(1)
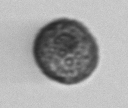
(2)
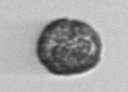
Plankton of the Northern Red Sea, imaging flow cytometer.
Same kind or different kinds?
Same: Umbilicosphaera sibogae.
